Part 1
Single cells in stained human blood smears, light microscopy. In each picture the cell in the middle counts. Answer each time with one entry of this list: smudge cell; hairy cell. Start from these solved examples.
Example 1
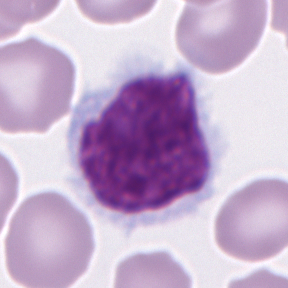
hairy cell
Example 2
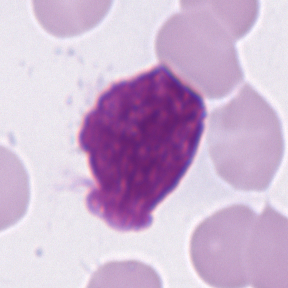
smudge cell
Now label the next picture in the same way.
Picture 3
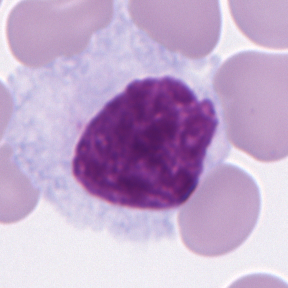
hairy cell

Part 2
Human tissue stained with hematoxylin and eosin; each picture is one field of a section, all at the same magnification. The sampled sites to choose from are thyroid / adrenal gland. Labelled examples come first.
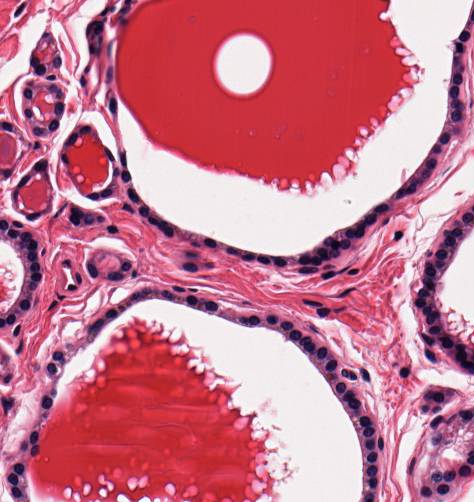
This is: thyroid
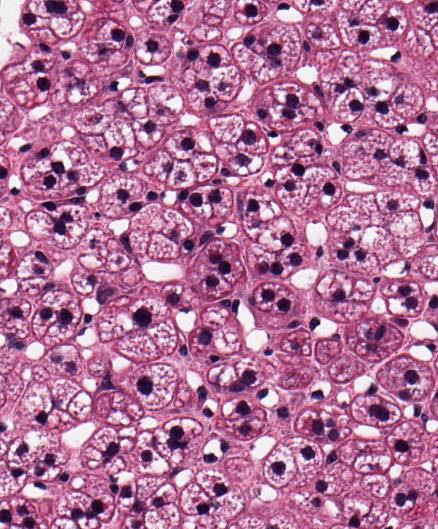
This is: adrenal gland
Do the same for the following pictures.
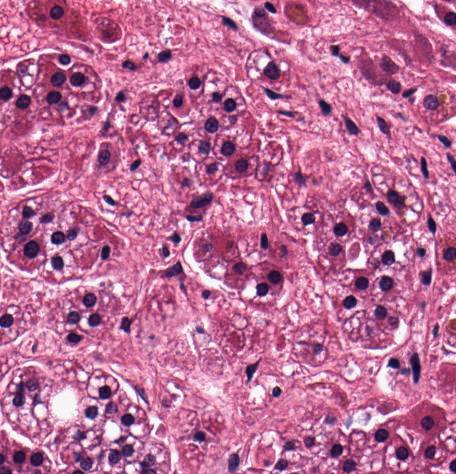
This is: adrenal gland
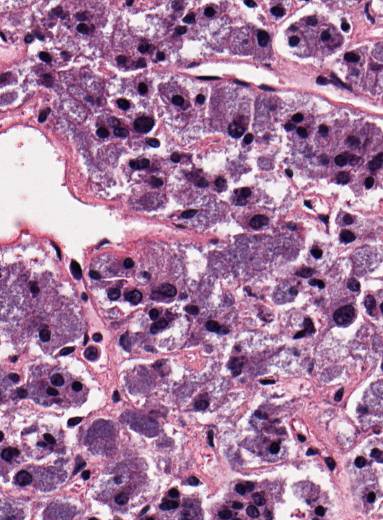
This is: adrenal gland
